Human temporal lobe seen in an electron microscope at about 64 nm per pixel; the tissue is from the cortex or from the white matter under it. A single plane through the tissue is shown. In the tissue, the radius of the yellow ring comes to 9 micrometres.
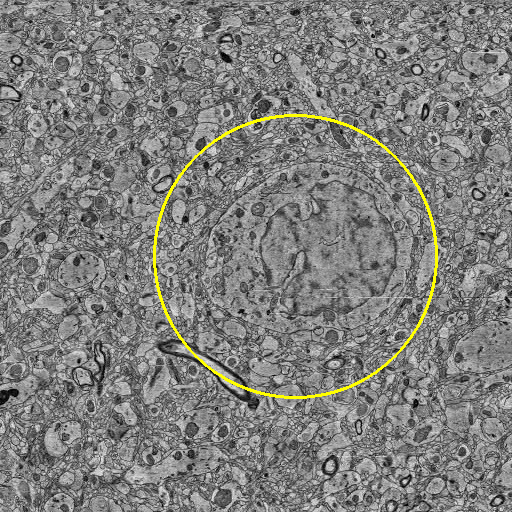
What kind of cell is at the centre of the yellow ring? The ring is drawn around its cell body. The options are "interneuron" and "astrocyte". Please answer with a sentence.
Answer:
The yellow ring marks the cell body of an interneuron.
